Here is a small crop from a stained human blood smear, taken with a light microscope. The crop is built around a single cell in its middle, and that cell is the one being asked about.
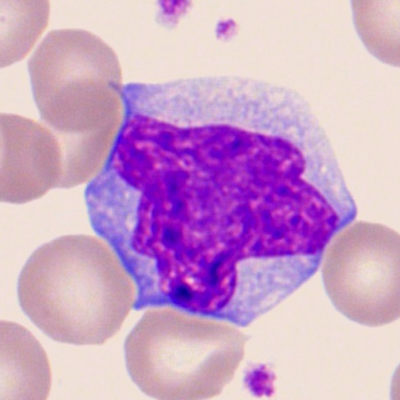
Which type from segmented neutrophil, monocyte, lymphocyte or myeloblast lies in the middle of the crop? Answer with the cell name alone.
monocyte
